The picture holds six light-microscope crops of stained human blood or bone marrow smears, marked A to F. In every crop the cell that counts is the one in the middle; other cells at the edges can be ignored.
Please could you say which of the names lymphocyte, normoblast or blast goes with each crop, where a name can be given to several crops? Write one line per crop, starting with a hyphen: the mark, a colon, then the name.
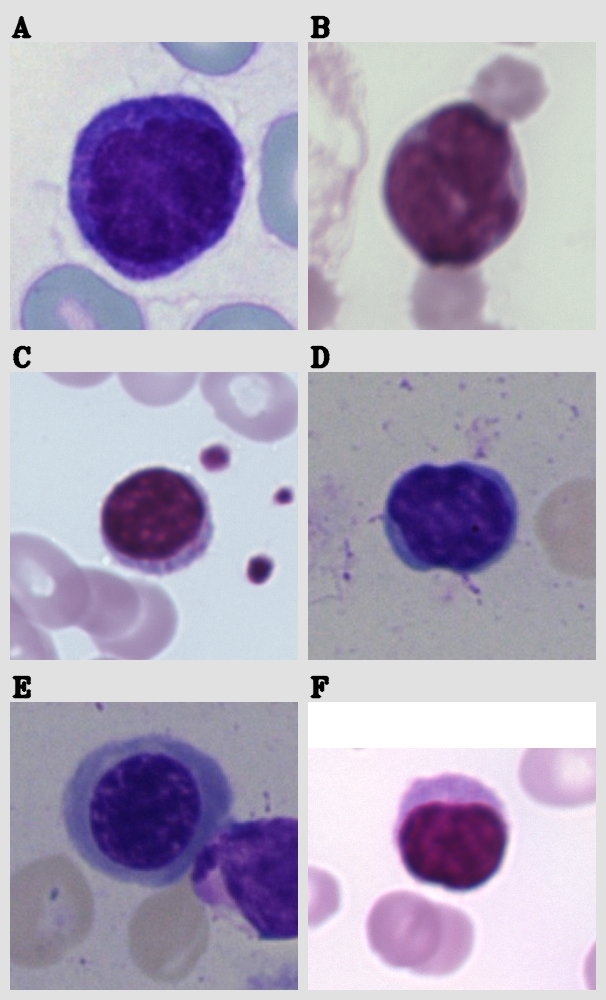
- A: blast
- B: blast
- C: lymphocyte
- D: lymphocyte
- E: normoblast
- F: lymphocyte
